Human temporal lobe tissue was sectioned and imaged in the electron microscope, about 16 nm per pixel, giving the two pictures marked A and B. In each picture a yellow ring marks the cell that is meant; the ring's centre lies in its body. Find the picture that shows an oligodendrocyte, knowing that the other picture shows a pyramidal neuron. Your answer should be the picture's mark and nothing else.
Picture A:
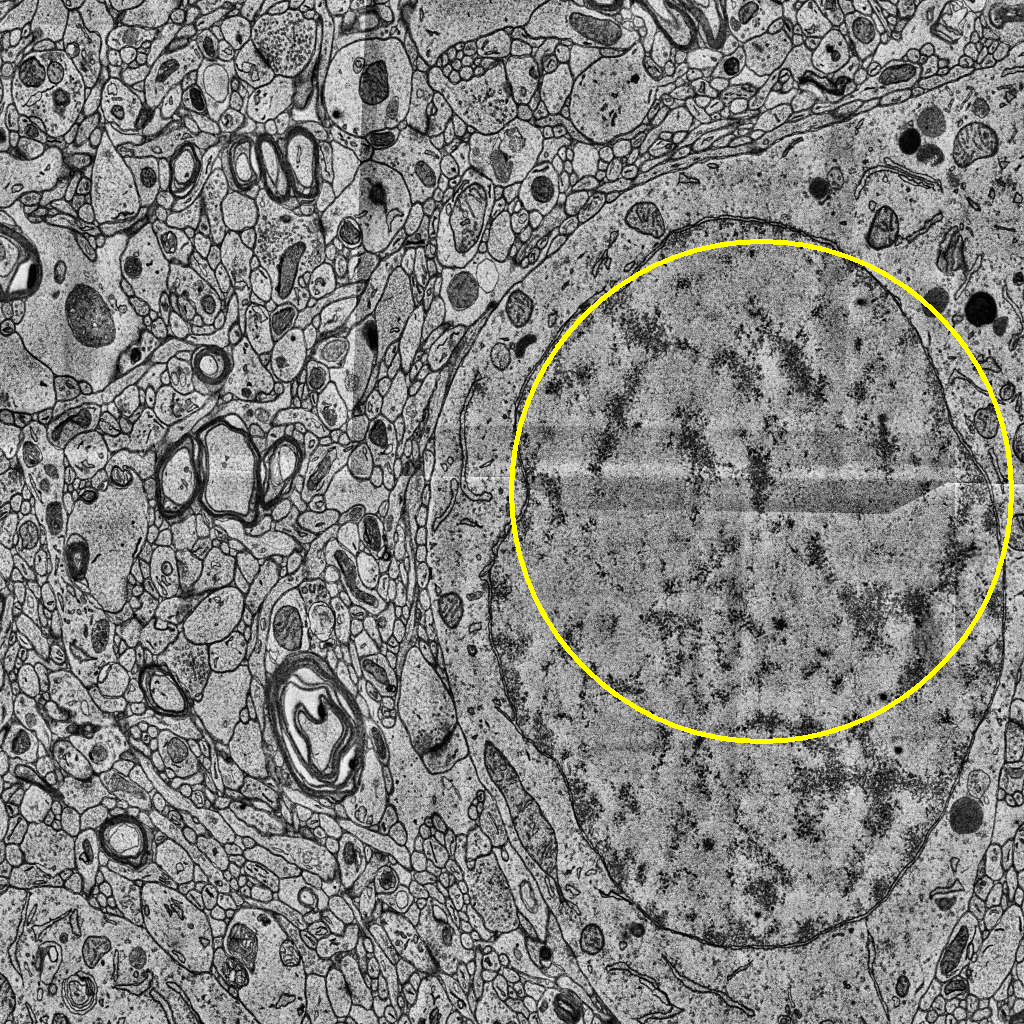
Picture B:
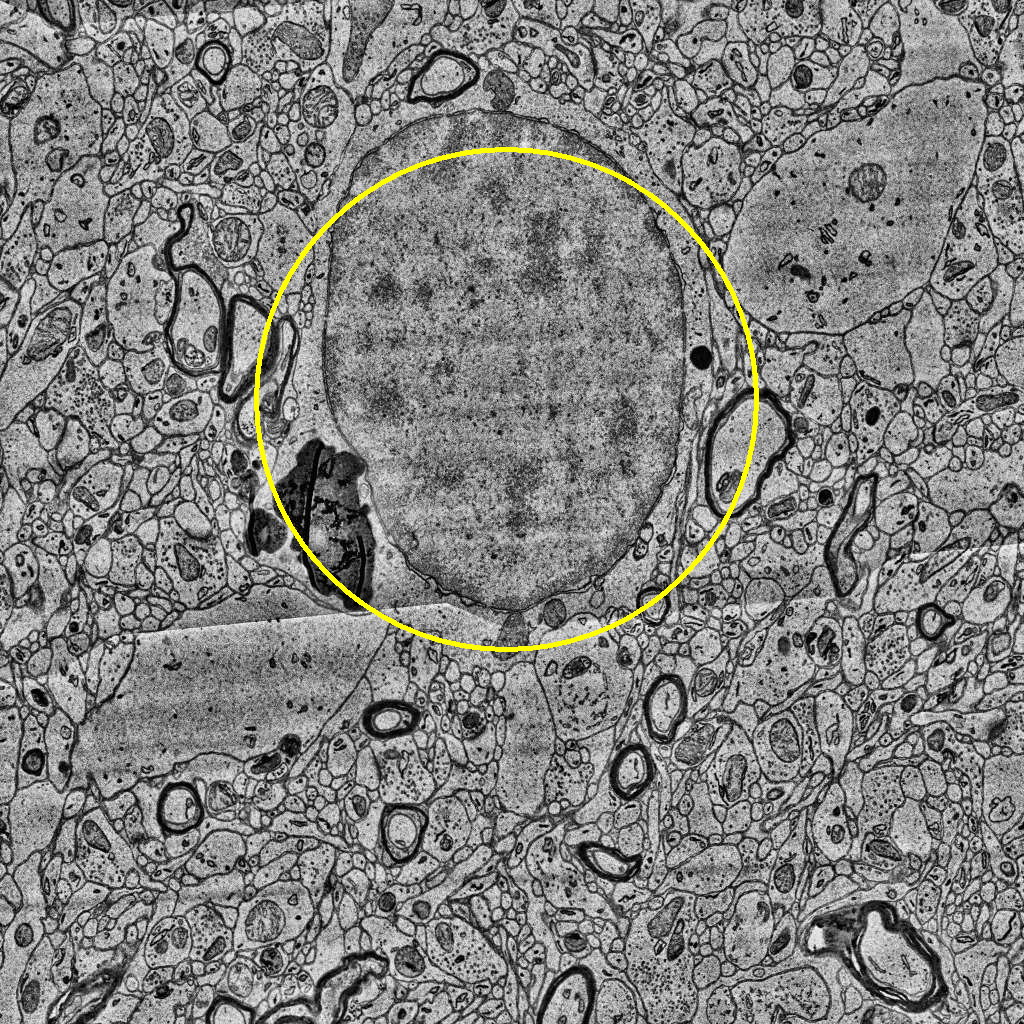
B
